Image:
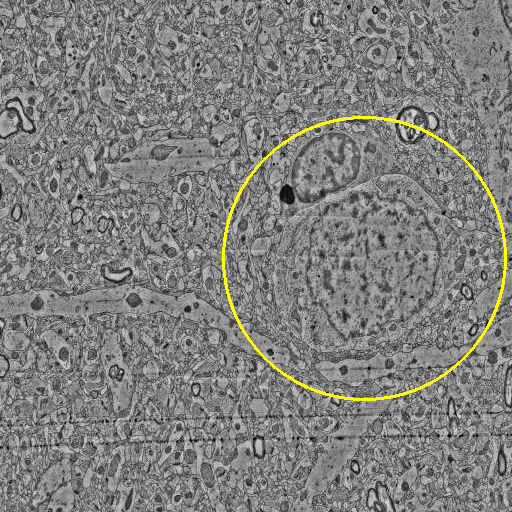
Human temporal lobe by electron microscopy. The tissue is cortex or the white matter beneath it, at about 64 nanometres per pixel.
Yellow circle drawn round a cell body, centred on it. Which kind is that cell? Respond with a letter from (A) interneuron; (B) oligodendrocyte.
A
